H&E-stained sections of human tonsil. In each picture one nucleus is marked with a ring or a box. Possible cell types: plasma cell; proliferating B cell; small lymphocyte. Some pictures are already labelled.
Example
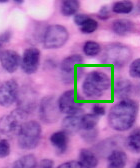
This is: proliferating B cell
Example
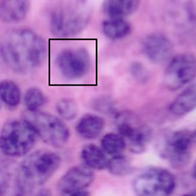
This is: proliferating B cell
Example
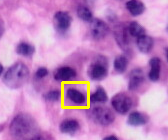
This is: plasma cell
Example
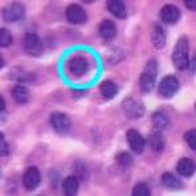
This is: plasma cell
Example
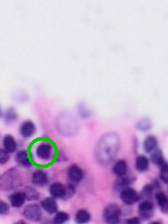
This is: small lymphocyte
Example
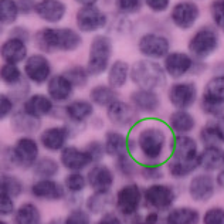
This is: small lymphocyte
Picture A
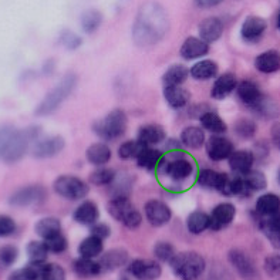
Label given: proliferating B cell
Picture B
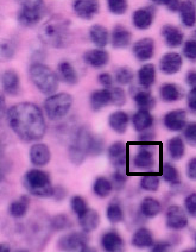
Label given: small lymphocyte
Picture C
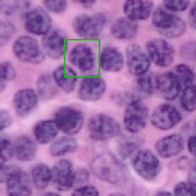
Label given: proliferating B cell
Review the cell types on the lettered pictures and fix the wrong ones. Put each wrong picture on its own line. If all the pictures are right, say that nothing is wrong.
A is labelled proliferating B cell; correct label: small lymphocyte
C is labelled proliferating B cell; correct label: small lymphocyte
